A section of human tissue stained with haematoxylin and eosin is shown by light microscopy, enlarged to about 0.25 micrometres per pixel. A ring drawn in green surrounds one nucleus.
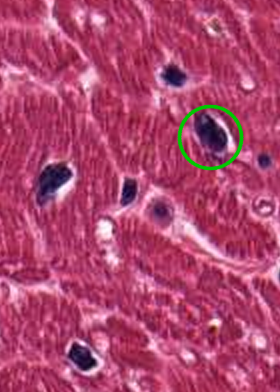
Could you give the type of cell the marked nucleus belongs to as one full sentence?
Within a cardiomyocyte lies the marked nucleus.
